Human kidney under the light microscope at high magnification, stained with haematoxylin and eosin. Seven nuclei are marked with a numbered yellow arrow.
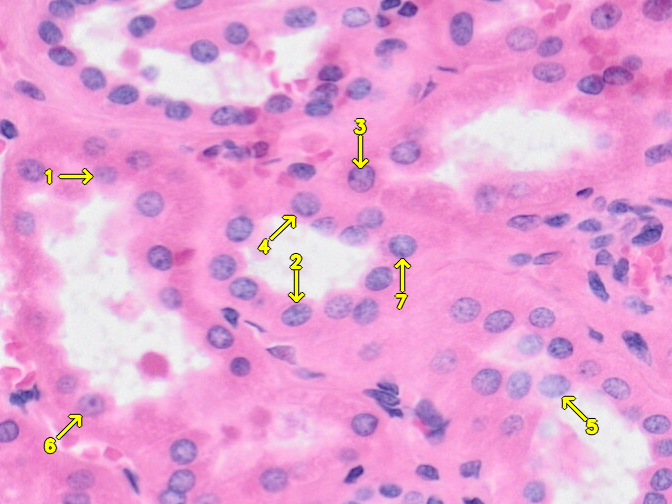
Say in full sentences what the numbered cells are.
Cells 1, 3 and 6 are proximal tubule cells. Cells 2, 4, 5 and 7 are loop of Henle or distal tubule cells.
